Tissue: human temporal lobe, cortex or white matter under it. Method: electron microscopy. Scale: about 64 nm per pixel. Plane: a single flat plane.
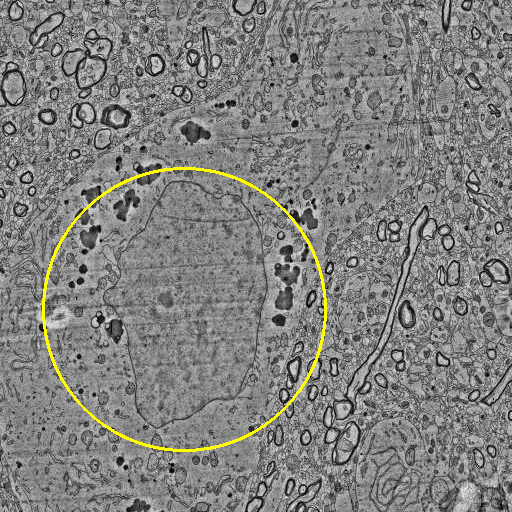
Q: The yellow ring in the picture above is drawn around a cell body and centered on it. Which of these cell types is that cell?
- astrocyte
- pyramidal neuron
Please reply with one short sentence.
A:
The cell body at the ring's center belongs to a pyramidal neuron.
